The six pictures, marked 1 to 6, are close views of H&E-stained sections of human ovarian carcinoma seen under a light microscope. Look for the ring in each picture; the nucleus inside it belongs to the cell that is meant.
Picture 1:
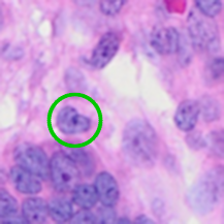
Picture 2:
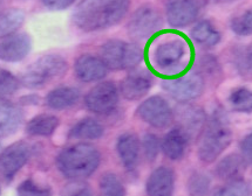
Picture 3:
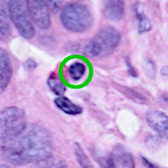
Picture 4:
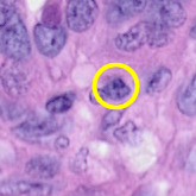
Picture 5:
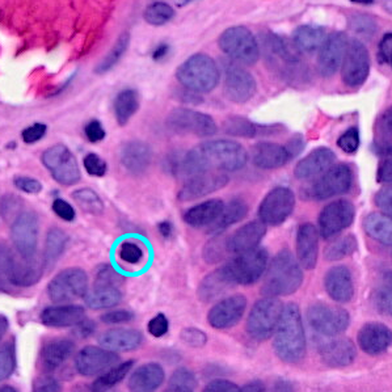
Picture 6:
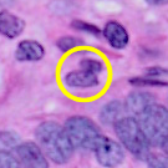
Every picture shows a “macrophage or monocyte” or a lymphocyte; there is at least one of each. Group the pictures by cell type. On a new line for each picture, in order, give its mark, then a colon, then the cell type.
1: macrophage or monocyte
2: macrophage or monocyte
3: lymphocyte
4: lymphocyte
5: lymphocyte
6: macrophage or monocyte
